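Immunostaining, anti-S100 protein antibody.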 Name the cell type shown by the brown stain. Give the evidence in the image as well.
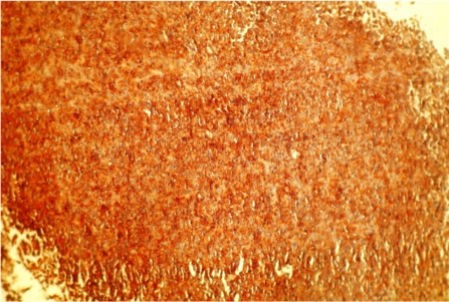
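A dense, sheet-like mass of closely packed cells fills most of the field. The reddish-brown stain spreads diffusely across nearly the whole cellular mass. On this evidence: tumor cells.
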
